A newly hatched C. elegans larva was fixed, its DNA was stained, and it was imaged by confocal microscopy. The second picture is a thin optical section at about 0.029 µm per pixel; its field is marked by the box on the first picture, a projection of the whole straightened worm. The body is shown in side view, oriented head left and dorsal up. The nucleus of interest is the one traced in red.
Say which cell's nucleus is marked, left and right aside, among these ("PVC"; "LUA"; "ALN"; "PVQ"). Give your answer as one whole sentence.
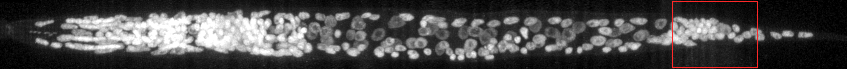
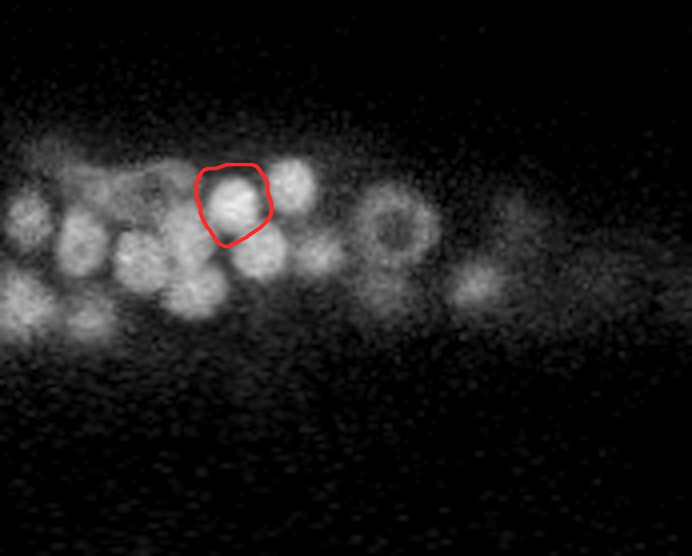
It belongs to LUA, a neuron.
